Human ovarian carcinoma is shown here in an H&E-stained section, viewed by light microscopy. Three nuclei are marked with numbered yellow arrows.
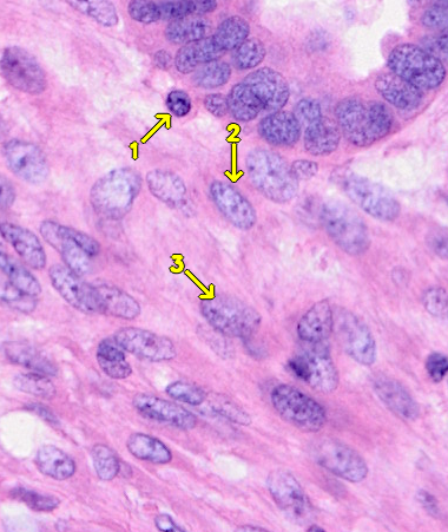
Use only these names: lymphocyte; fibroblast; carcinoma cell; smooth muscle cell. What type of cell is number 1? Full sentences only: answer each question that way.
In the tissue shown, cell 1 is a lymphocyte.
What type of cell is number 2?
The marked cell with the number 2 is recognised as a fibroblast.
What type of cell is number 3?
Corresponding to a fibroblast is the cell labelled 3.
